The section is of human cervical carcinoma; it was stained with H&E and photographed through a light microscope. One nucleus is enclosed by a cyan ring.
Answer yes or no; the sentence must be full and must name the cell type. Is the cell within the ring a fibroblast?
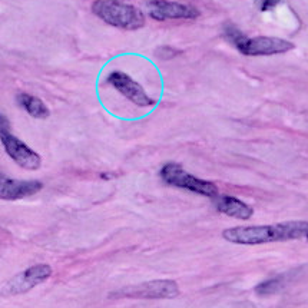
Yes, a fibroblast is the identity of the cell within the ring in this section.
